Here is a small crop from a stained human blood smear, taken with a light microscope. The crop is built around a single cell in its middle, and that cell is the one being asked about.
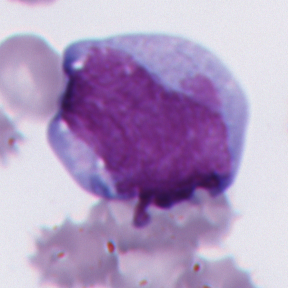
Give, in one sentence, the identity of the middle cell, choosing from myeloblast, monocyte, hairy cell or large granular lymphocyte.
Here the cell in the middle is a myeloblast.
